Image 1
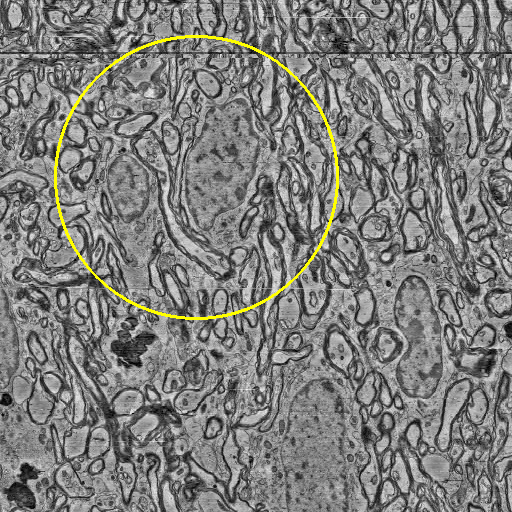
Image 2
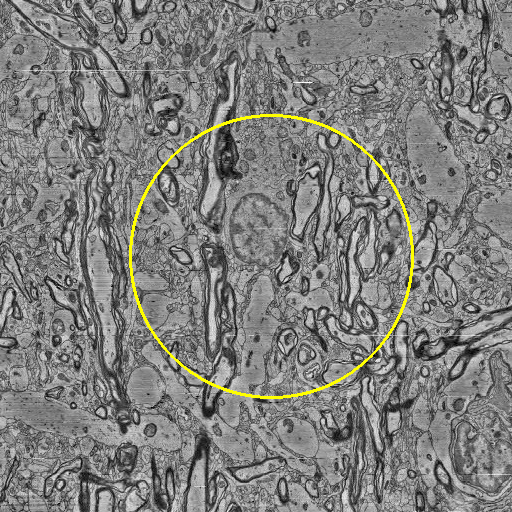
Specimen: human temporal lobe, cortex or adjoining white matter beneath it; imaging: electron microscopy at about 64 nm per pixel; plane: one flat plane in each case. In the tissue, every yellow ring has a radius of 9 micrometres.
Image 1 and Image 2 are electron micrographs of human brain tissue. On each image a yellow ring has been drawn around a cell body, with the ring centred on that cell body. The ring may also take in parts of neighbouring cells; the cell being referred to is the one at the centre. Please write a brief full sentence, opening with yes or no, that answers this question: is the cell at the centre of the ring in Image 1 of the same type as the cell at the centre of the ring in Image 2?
No, the two cells are of two types.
